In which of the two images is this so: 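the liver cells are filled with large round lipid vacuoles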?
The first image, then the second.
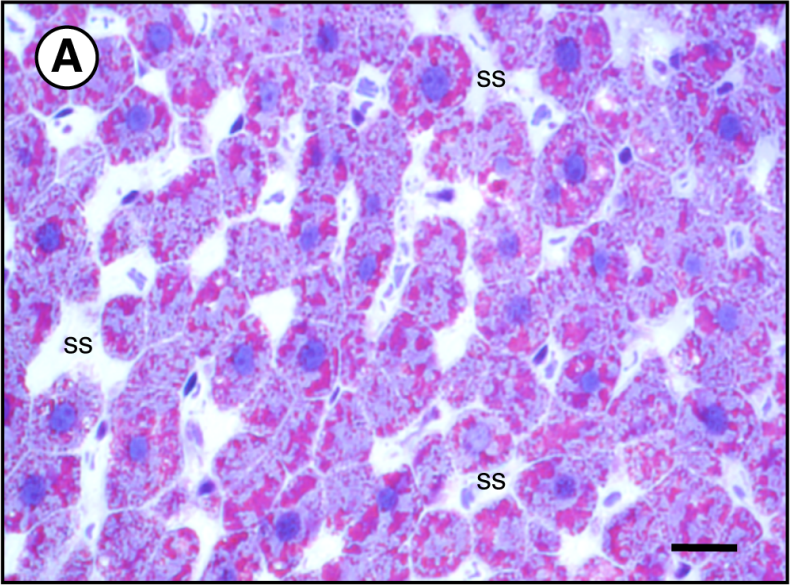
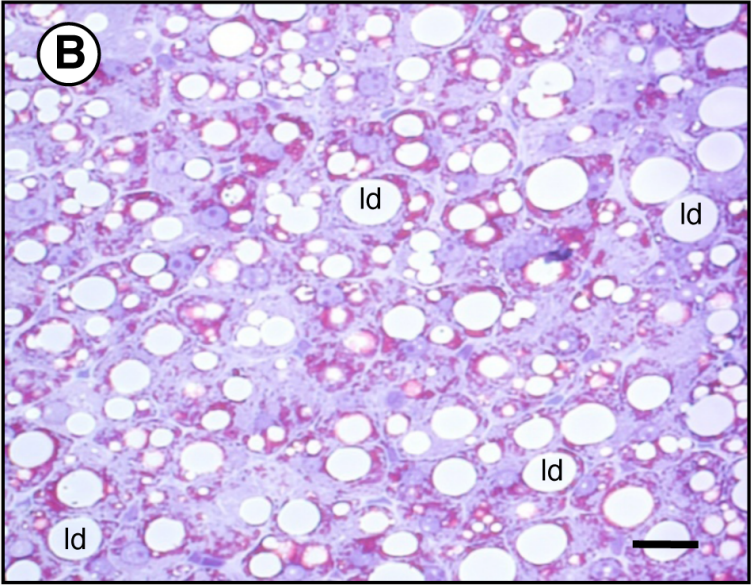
The second image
